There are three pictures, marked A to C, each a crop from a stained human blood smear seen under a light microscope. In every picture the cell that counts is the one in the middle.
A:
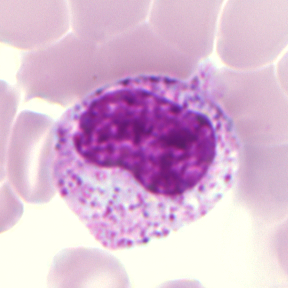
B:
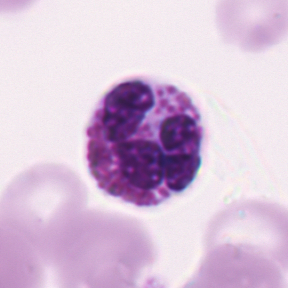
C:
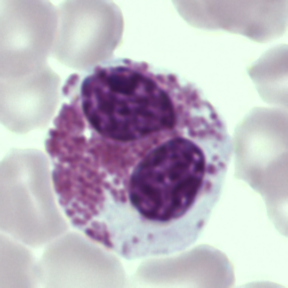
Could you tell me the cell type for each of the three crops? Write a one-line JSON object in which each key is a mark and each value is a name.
{"A": "metamyelocyte", "B": "eosinophil", "C": "eosinophil"}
